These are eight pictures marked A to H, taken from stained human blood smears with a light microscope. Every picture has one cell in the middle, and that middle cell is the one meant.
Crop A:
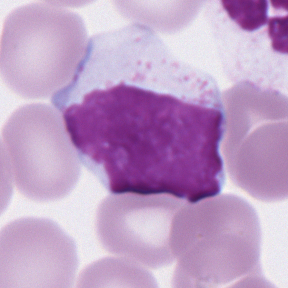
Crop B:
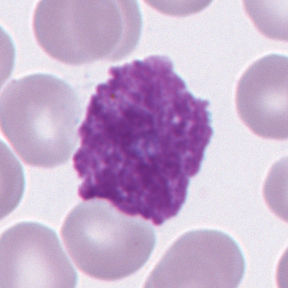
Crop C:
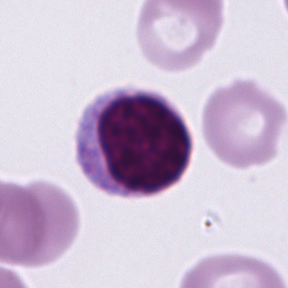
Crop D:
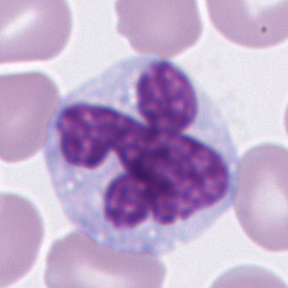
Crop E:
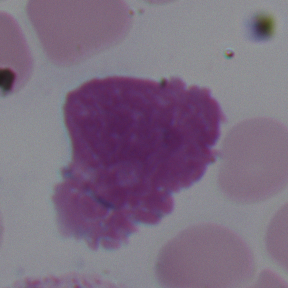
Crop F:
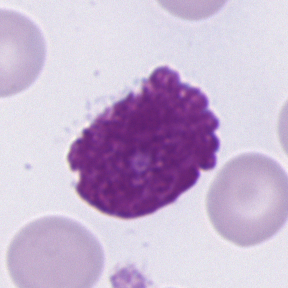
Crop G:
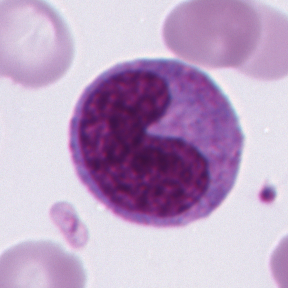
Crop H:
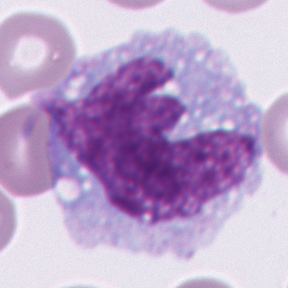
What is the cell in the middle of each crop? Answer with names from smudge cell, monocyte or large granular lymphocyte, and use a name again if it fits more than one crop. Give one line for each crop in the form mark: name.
A: large granular lymphocyte
B: smudge cell
C: large granular lymphocyte
D: monocyte
E: smudge cell
F: smudge cell
G: monocyte
H: monocyte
